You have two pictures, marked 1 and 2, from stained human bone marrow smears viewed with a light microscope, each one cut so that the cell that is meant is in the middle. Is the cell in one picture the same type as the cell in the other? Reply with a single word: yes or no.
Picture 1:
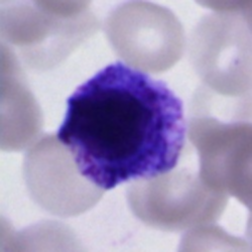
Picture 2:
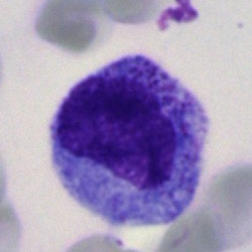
yes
